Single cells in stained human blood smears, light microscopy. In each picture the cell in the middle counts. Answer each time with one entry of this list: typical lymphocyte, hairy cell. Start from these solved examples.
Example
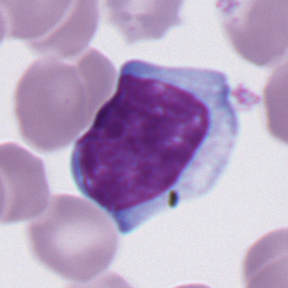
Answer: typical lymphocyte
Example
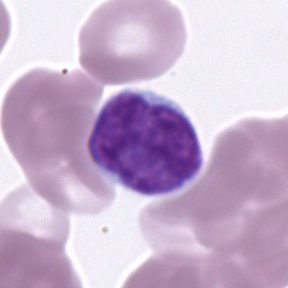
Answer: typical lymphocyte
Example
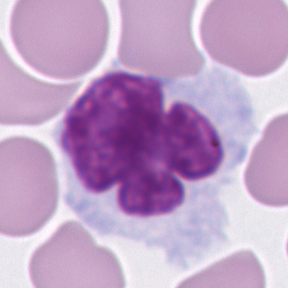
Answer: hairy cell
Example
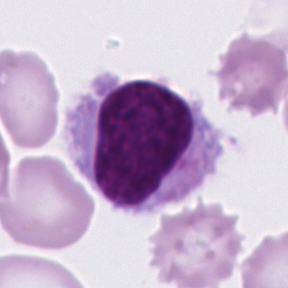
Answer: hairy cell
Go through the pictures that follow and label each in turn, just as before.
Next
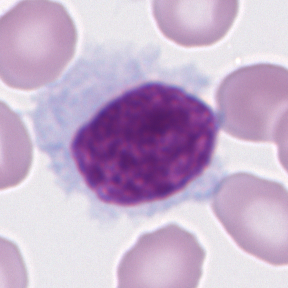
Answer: hairy cell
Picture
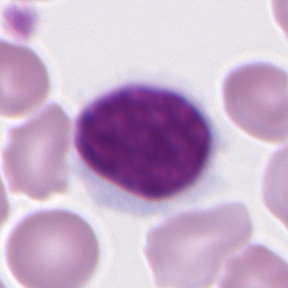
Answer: hairy cell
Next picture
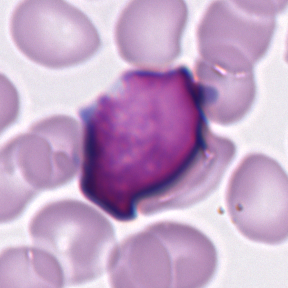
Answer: typical lymphocyte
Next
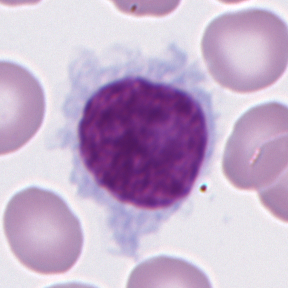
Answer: hairy cell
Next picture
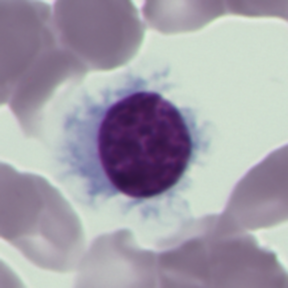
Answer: hairy cell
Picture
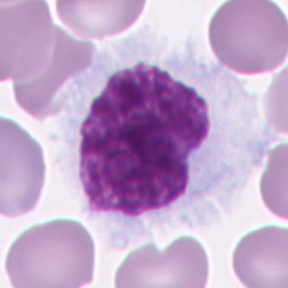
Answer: hairy cell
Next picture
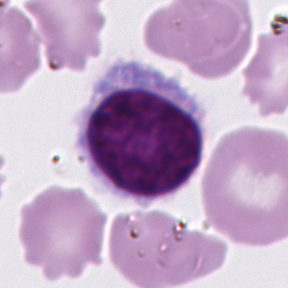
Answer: hairy cell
